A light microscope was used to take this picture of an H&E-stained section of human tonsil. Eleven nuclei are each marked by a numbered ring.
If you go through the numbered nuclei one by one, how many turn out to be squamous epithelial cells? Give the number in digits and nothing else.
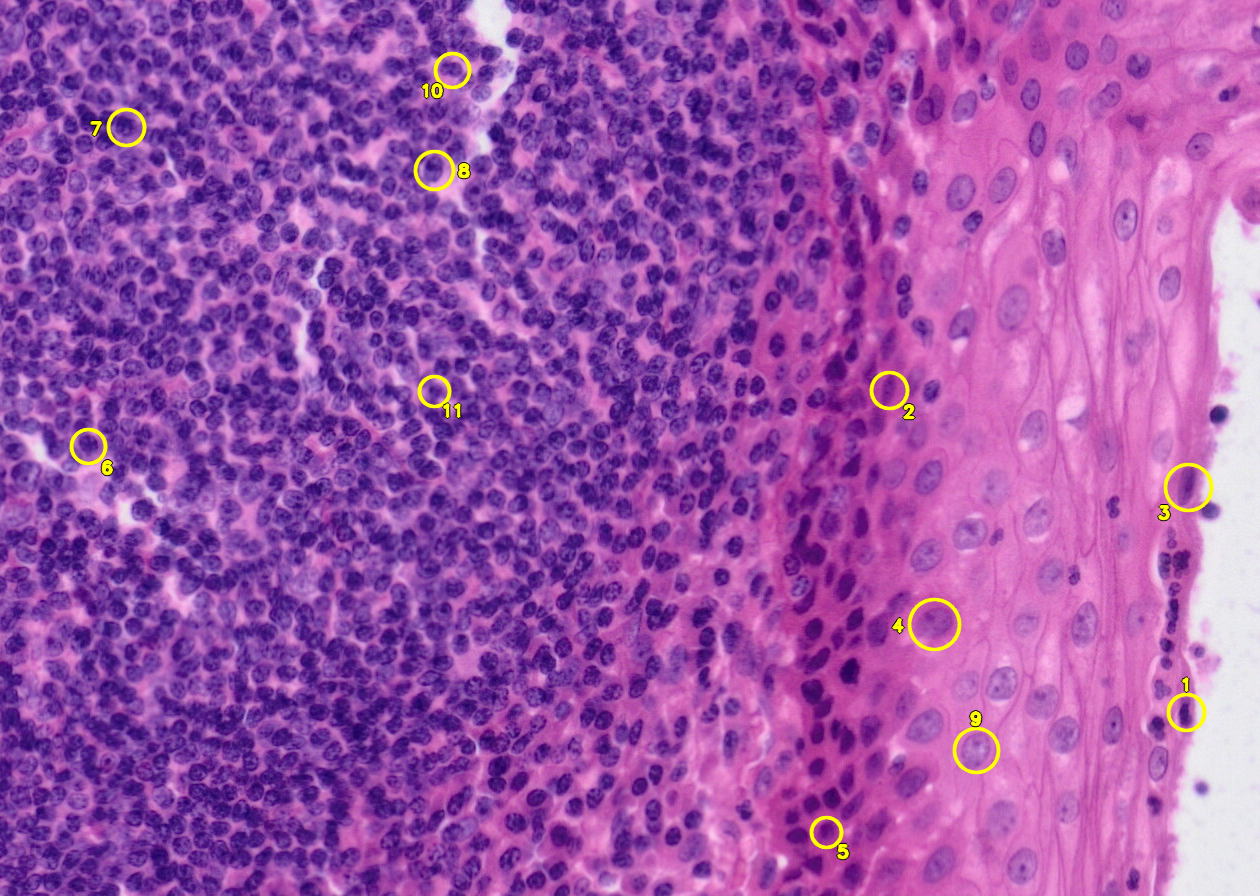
6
